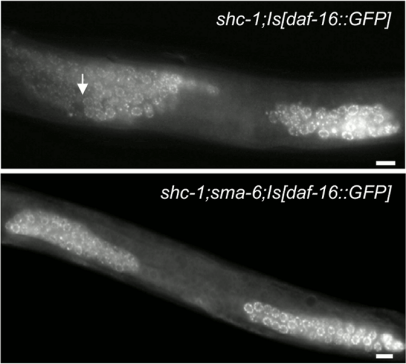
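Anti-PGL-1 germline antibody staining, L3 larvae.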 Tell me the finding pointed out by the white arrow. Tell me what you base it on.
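In the upper image the left cluster of round nuclei is large and densely packed. On this evidence: hyperplasia.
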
